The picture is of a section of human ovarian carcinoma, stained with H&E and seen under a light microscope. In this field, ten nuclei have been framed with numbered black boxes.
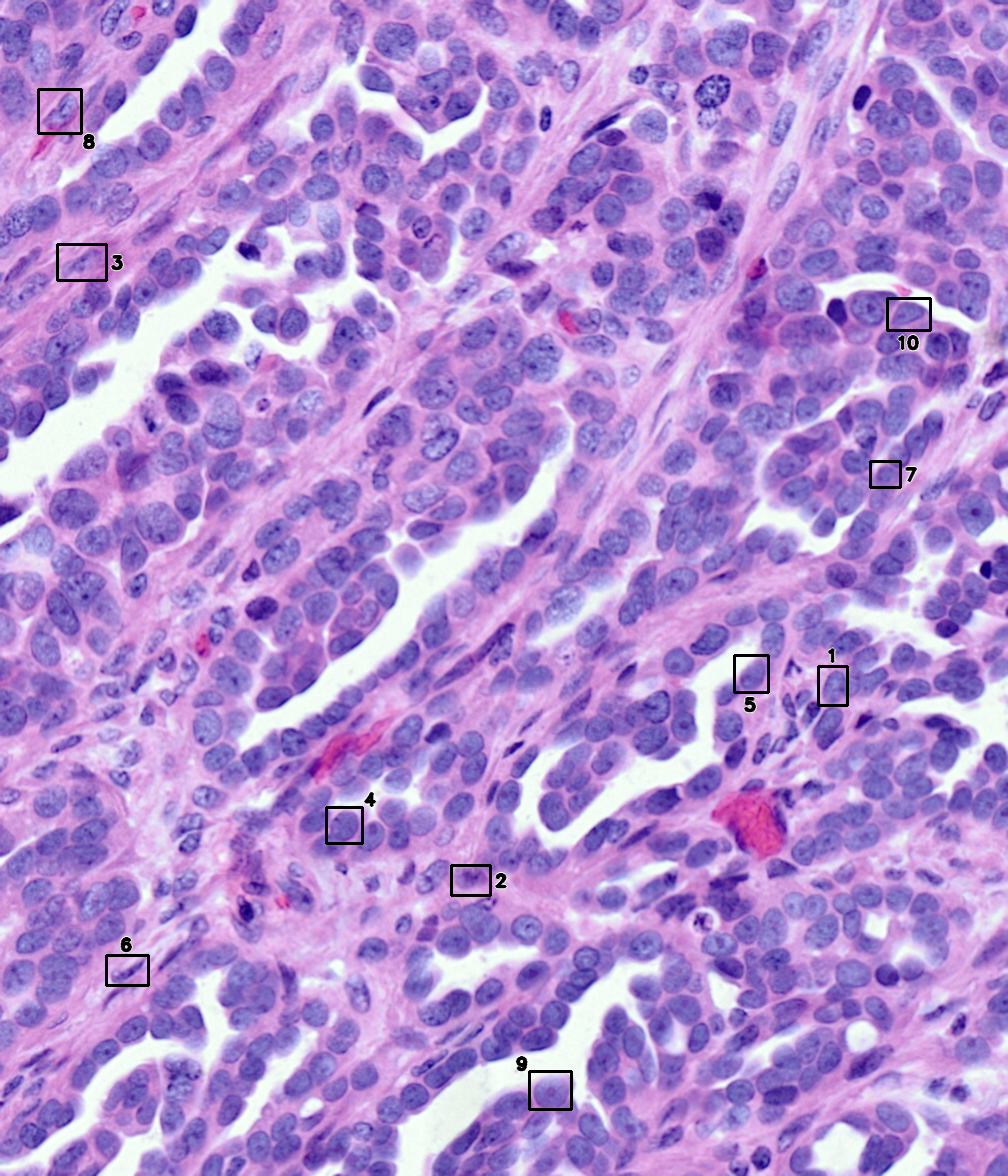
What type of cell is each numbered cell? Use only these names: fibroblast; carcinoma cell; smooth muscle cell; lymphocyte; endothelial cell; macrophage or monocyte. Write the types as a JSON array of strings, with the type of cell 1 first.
["carcinoma cell", "fibroblast", "fibroblast", "carcinoma cell", "carcinoma cell", "fibroblast", "carcinoma cell", "endothelial cell", "carcinoma cell", "carcinoma cell"]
